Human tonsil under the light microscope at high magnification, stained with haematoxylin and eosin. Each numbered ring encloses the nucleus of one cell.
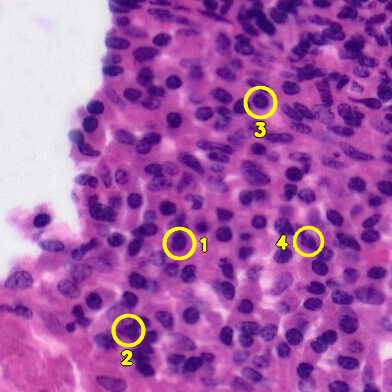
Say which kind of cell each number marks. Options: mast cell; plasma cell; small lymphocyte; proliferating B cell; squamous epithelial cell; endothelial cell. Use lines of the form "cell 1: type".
cell 1: plasma cell
cell 2: squamous epithelial cell
cell 3: plasma cell
cell 4: plasma cell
